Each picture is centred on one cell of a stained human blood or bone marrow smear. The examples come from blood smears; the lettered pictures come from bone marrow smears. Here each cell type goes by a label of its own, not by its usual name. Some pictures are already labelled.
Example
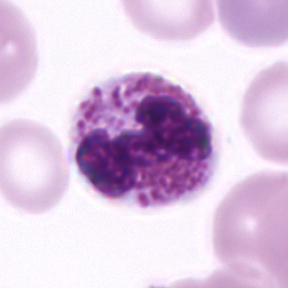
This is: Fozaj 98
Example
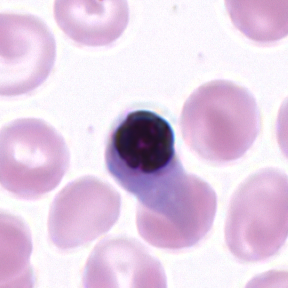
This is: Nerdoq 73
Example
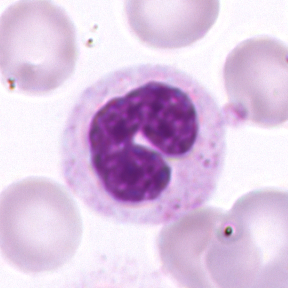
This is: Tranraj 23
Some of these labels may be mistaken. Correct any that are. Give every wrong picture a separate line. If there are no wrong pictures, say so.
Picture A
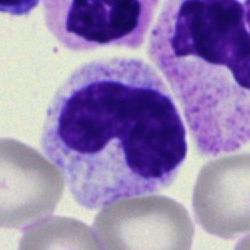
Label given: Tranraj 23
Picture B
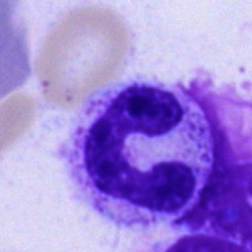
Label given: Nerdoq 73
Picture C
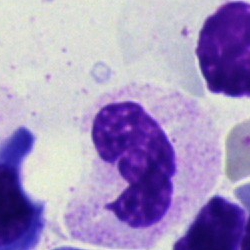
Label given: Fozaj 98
Wrong: B (Nerdoq 73); correct: Tranraj 23
Wrong: C (Fozaj 98); correct: Tranraj 23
